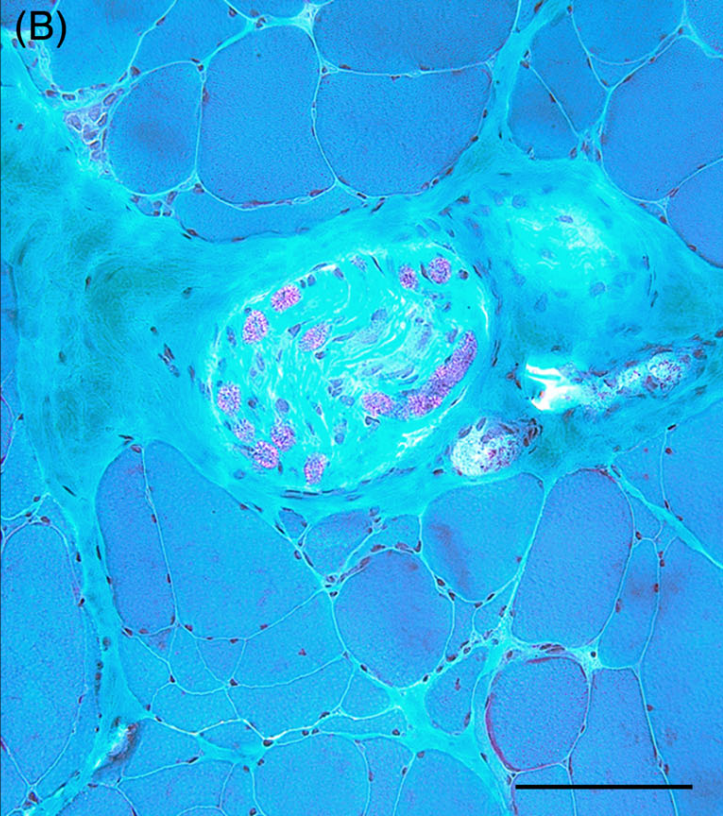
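In the centre lies a rounded nerve bundle within skeletal muscle, surrounded by blue-grey muscle fibres cut across. A thick band of green-blue connective tissue encloses the bundle and extends between the neighbouring muscle fibres. The muscle fibres around it are of varying size and shape, with dark nuclei at their edges. This is an intramuscular nerve showing loss of its fibres and fibrosis.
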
